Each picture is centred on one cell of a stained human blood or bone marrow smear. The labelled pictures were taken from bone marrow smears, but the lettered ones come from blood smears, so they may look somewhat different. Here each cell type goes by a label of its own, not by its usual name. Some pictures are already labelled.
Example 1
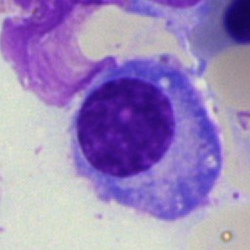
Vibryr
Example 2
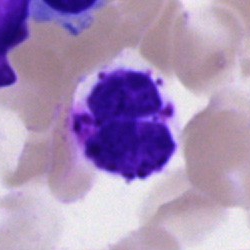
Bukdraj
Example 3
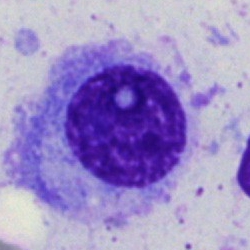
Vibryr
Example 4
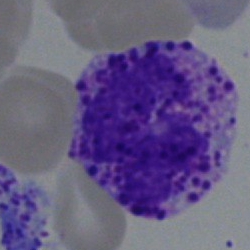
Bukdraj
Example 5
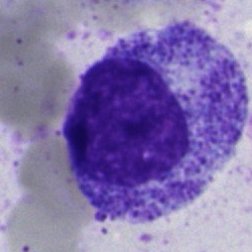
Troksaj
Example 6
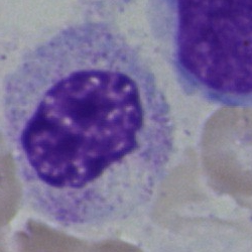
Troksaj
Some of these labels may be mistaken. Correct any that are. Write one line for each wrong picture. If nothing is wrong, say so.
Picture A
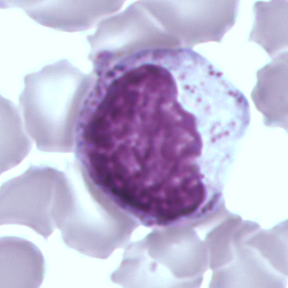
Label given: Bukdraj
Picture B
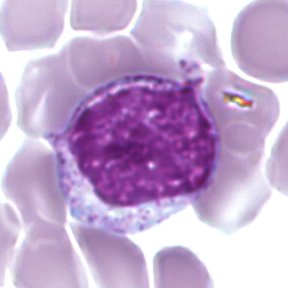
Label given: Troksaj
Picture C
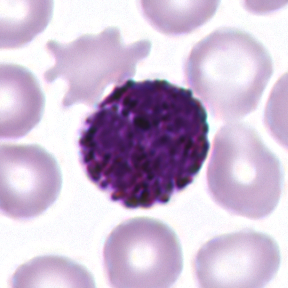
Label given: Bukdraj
A is labelled Bukdraj; correct label: Troksaj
